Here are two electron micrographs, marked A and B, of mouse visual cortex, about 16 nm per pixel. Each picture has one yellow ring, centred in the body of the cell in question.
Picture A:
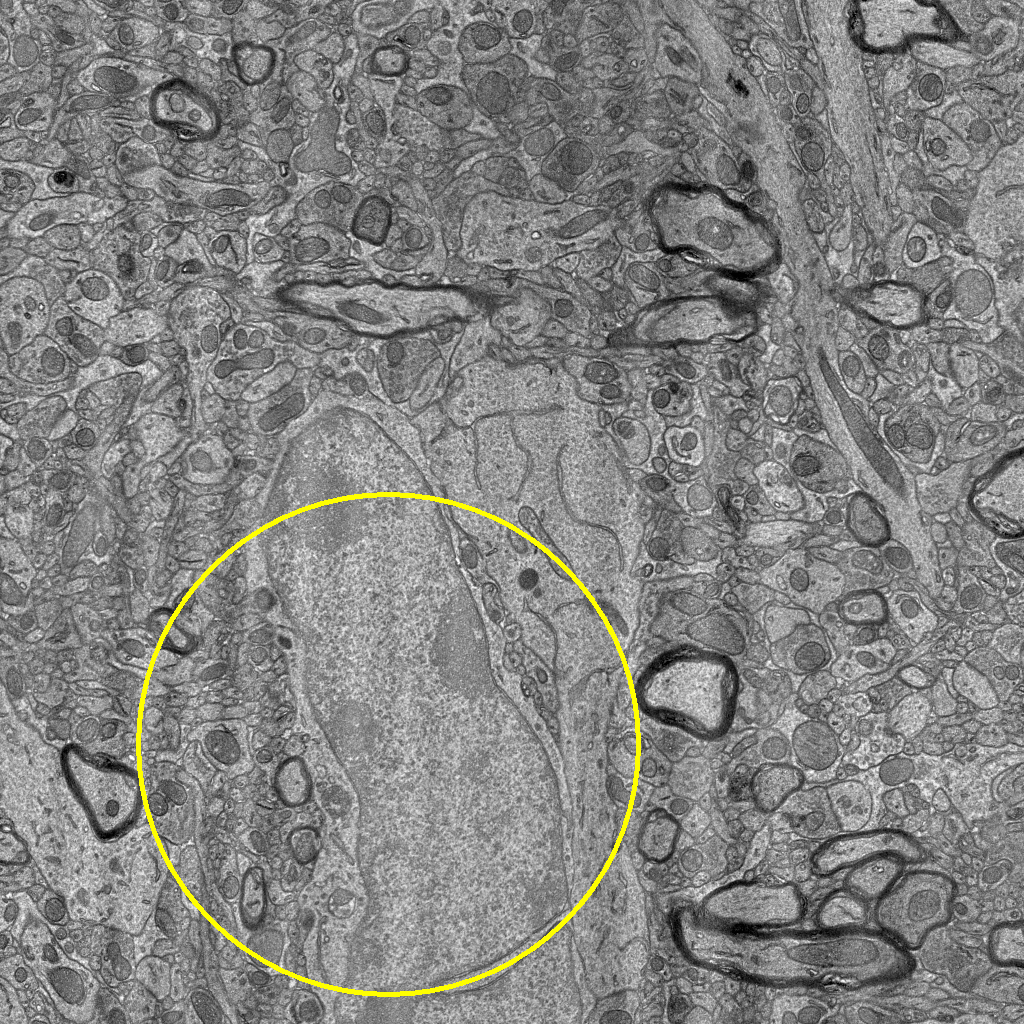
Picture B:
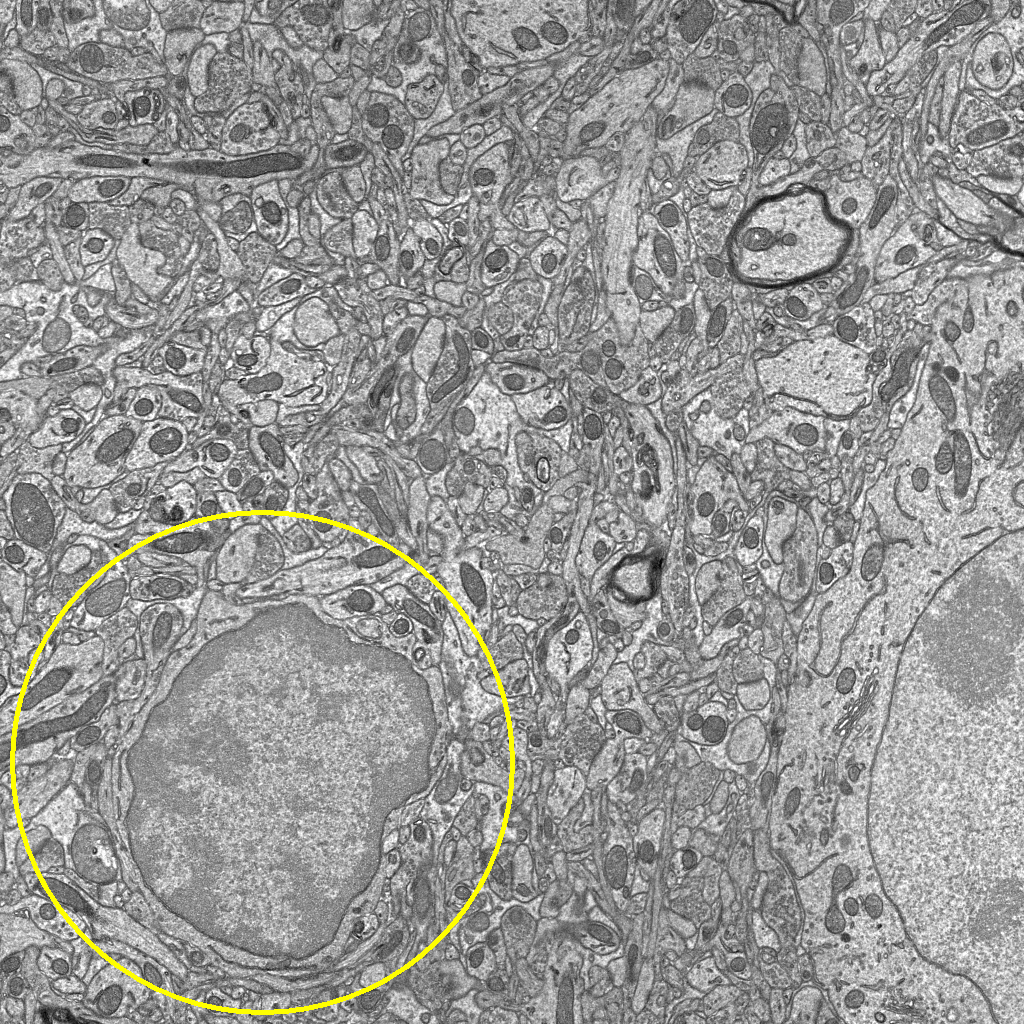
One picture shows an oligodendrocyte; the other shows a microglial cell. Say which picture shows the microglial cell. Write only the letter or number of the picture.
B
